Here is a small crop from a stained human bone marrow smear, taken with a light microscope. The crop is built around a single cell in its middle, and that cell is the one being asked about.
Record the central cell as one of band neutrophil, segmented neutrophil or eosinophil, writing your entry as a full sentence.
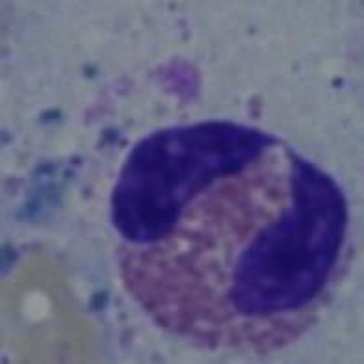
The centered cell in this crop is an eosinophil.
